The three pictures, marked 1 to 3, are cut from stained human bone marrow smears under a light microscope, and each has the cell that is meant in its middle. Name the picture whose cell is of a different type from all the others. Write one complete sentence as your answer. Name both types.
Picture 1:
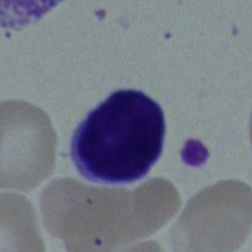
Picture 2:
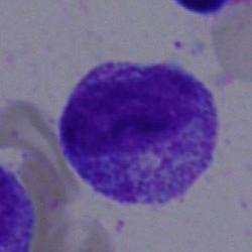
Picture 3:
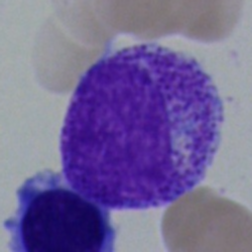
Unlike the rest, which show myelocytes, picture 1 shows a lymphocyte.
